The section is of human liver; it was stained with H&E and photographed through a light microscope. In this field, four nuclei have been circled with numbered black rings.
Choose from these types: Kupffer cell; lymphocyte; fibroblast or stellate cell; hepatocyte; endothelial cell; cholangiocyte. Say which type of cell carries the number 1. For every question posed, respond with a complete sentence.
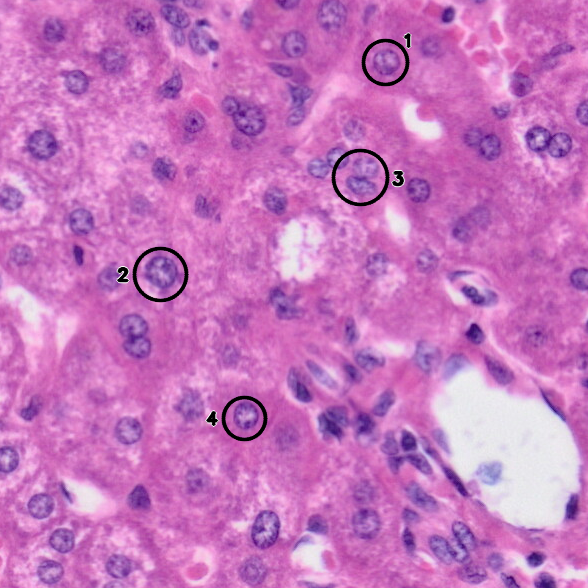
The cell carrying label 1 is identified as a hepatocyte.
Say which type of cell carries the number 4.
The marked cell with the number 4 is recognised as a hepatocyte.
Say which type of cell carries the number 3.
The cell to which the number 3 is assigned is a cholangiocyte.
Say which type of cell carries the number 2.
The cell numbered 2 represents a hepatocyte.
